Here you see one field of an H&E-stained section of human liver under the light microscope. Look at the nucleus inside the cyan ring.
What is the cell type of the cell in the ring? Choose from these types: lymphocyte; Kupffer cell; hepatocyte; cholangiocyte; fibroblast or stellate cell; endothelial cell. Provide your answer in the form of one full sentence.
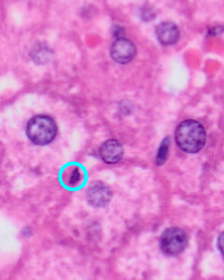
The expected answer is simply that the cell in the ring is a fibroblast or stellate cell.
